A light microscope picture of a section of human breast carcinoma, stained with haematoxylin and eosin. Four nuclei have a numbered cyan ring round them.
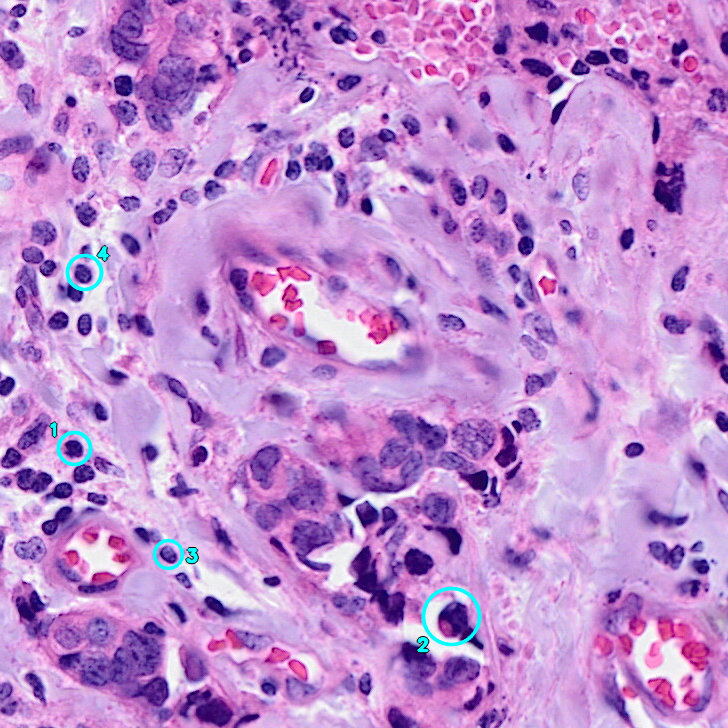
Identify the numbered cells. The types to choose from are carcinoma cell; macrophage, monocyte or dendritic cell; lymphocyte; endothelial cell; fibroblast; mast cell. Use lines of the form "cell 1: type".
cell 1: lymphocyte
cell 2: carcinoma cell
cell 3: lymphocyte
cell 4: lymphocyte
